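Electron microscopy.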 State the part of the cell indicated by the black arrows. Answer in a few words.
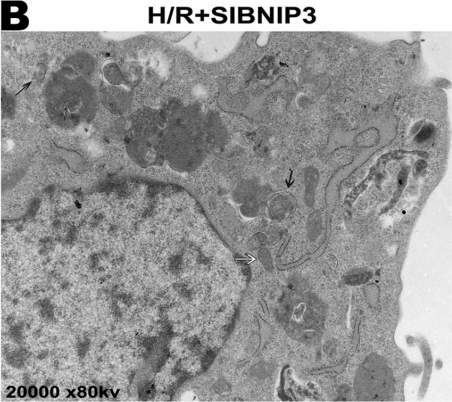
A: Autophagosomes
